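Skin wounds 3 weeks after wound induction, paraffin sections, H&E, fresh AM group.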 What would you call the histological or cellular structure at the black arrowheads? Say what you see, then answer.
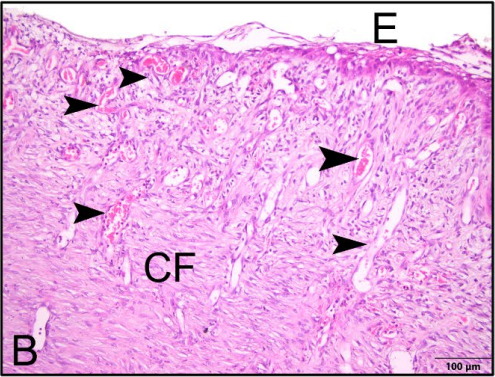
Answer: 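Arrowheads point to small round and elongated lumina in the dermis. Several lumina contain red-staining erythrocytes.
Hence: blood vessels.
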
